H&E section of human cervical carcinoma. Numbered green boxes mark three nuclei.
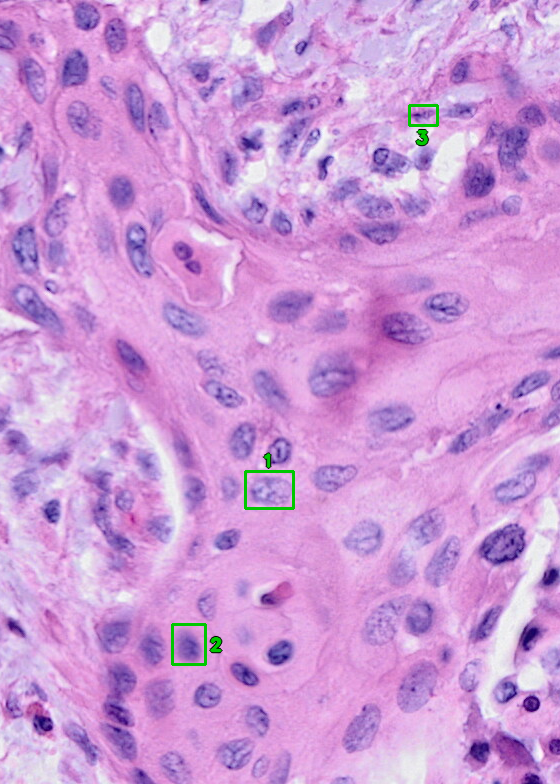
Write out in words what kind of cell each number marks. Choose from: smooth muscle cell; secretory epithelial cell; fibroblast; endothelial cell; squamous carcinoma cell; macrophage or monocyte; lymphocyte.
Cell 1 is a squamous carcinoma cell, cell 2 is a squamous carcinoma cell and cell 3 is a fibroblast.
